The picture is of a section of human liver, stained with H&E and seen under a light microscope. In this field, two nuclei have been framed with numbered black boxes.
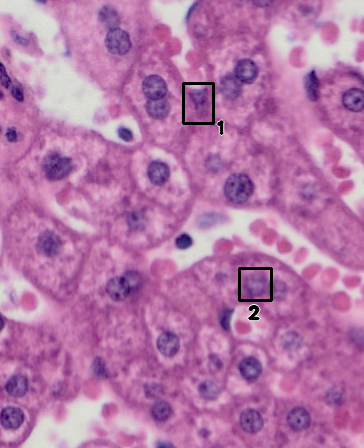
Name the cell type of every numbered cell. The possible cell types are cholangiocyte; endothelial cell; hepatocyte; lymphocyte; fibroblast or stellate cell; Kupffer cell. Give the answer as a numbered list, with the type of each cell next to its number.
1. endothelial cell
2. hepatocyte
